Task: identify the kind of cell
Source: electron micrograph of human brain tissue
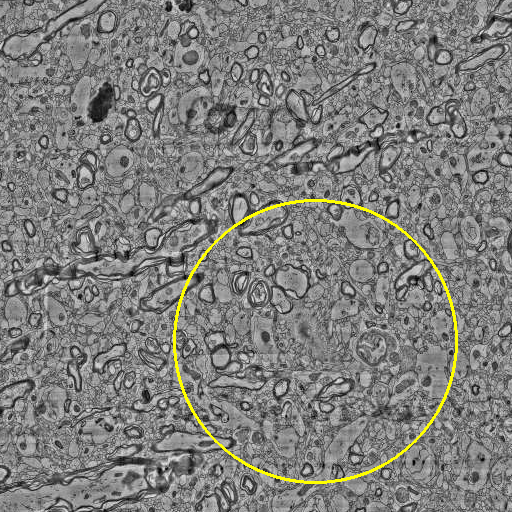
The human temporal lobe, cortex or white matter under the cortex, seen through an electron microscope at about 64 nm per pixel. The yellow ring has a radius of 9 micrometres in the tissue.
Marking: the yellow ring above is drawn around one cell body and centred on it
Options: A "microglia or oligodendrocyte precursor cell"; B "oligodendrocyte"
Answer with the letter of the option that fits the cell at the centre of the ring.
B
